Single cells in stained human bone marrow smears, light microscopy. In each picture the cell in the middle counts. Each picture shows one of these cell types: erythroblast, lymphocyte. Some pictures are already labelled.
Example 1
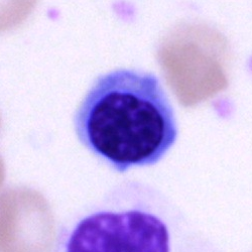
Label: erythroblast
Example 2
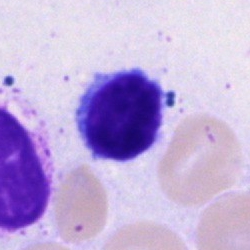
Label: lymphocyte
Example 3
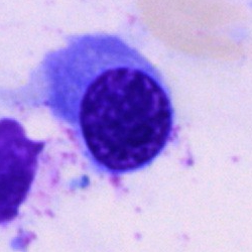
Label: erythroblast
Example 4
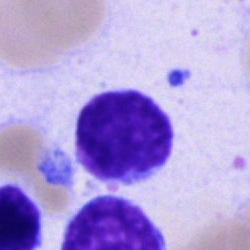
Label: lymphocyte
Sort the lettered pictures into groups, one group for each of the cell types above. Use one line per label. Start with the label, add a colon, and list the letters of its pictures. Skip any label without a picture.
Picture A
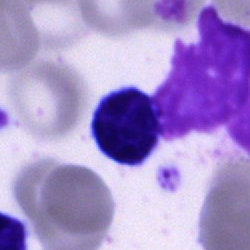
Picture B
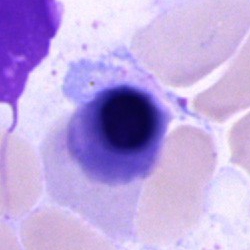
erythroblast: B
lymphocyte: A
